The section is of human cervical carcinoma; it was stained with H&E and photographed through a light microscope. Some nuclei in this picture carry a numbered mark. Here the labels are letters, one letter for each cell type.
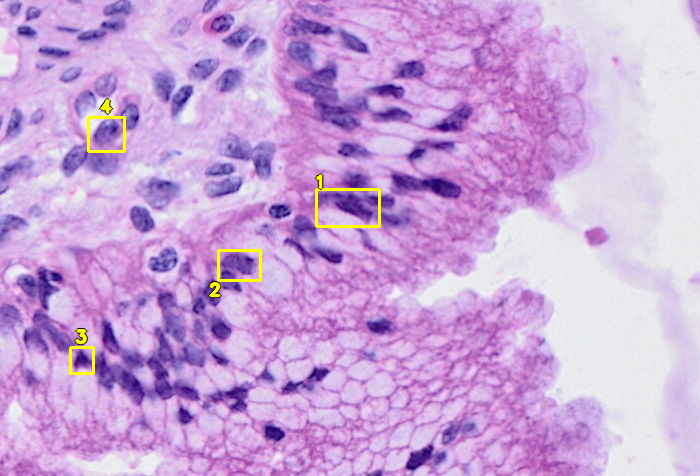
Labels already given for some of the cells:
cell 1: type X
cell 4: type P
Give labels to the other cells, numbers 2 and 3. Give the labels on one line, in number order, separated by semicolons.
type X; type X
